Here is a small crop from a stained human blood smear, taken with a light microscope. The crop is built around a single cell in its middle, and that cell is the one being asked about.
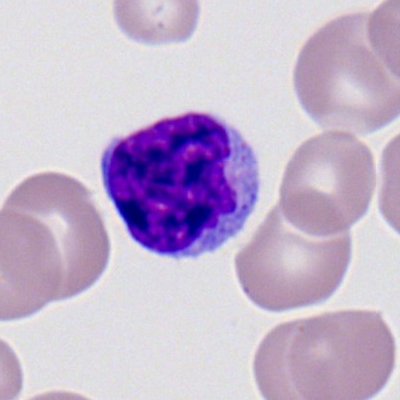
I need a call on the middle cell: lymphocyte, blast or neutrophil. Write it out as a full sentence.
In this smear crop, the middle cell is a lymphocyte.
